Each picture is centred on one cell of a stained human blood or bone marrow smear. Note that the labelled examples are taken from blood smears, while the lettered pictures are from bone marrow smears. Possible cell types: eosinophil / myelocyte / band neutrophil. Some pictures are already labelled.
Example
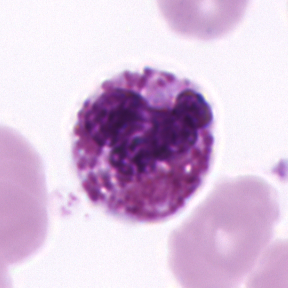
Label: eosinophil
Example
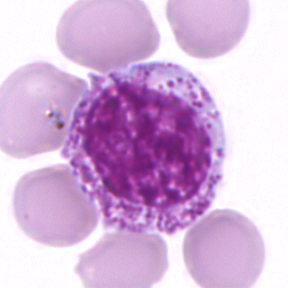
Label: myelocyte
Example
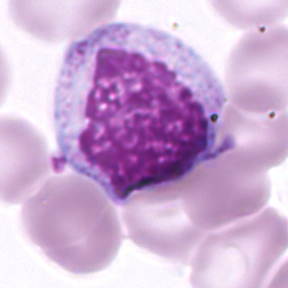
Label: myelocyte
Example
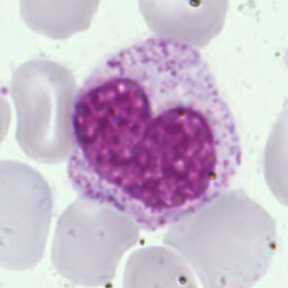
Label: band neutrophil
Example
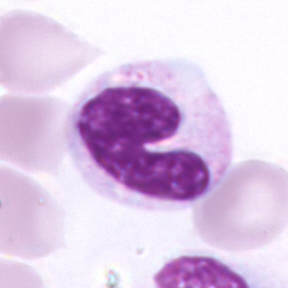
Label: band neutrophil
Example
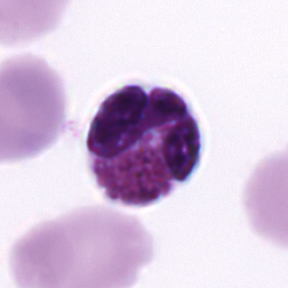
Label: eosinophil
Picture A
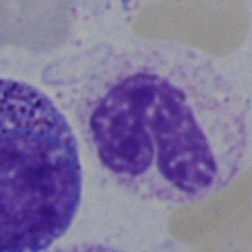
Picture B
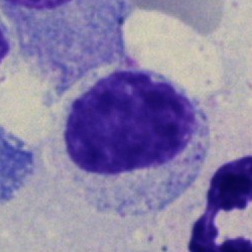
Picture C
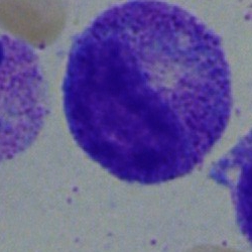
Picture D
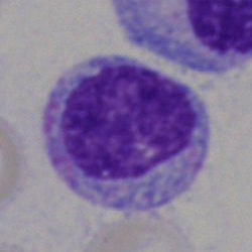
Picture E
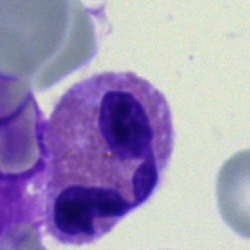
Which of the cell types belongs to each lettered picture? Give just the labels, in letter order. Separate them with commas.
band neutrophil, myelocyte, myelocyte, myelocyte, eosinophil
